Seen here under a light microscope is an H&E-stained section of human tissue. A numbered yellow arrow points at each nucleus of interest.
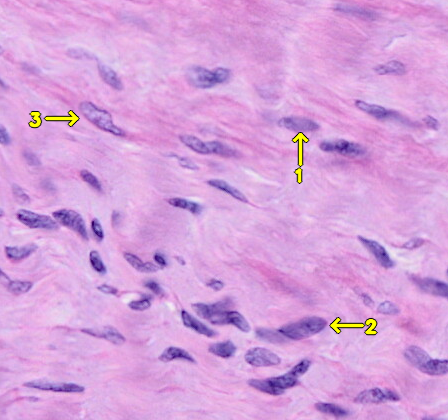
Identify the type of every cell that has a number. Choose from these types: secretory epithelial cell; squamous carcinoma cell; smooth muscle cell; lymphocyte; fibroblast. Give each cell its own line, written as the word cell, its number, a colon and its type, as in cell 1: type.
cell 1: smooth muscle cell
cell 2: fibroblast
cell 3: smooth muscle cell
